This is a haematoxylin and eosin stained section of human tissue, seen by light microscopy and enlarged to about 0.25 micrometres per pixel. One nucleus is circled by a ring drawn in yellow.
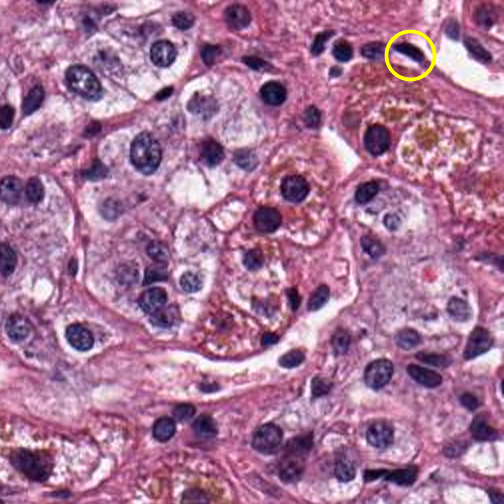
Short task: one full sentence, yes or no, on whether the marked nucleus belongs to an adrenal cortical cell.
No, the marked nucleus is not housed in an adrenal cortical cell but in a supporting cell.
